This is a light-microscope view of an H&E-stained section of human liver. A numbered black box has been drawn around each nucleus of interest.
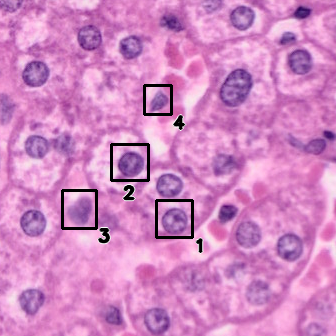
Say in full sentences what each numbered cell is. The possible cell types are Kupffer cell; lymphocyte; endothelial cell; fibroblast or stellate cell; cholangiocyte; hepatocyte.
Cells 1 and 2 are hepatocytes. Cell 3 is an endothelial cell. Cell 4 is a lymphocyte.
